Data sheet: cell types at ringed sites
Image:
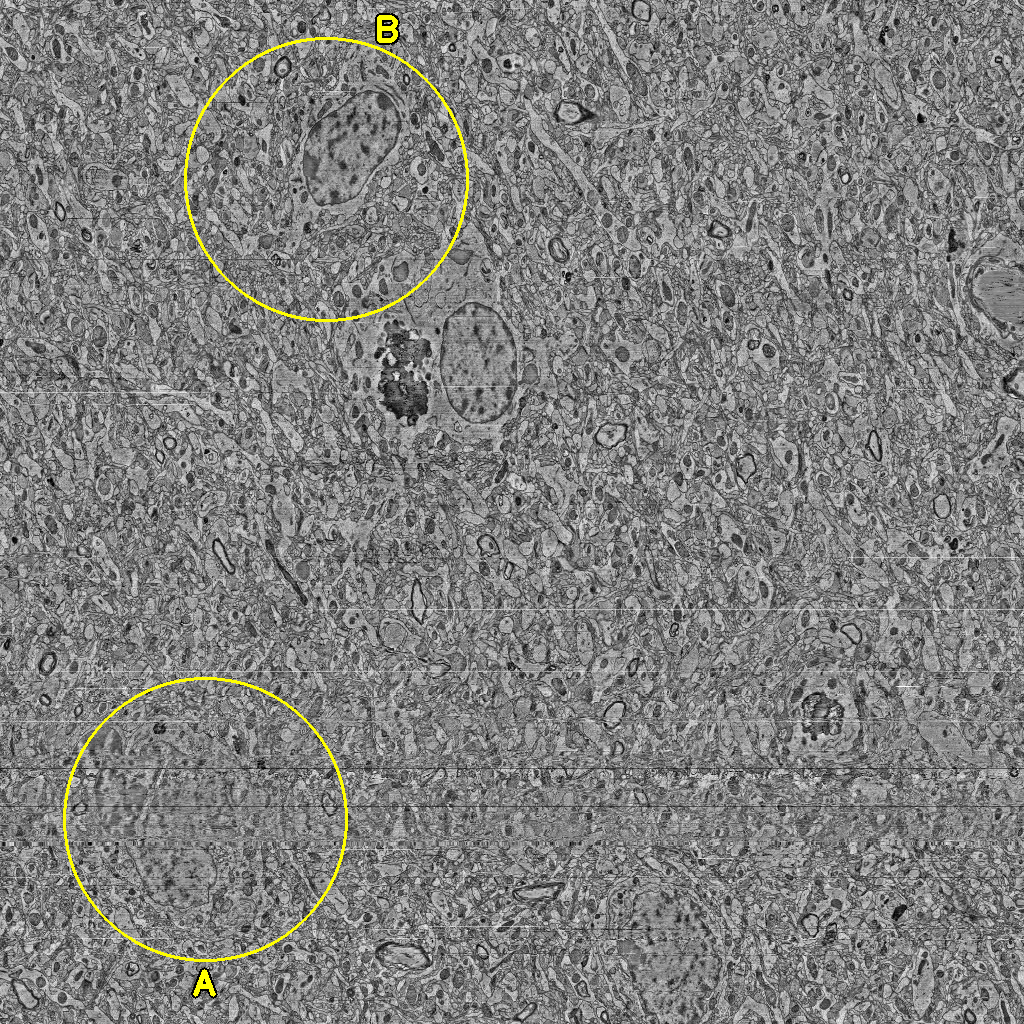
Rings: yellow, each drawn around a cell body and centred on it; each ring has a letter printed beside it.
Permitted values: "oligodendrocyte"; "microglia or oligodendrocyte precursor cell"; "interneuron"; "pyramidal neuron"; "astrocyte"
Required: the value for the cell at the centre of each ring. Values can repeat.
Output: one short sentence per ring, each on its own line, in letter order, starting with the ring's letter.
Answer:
Ring A has an interneuron at its centre.
Ring B has a microglial cell or oligodendrocyte precursor cell at its centre.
